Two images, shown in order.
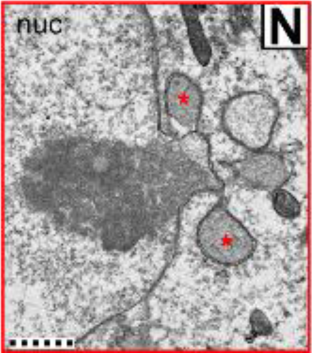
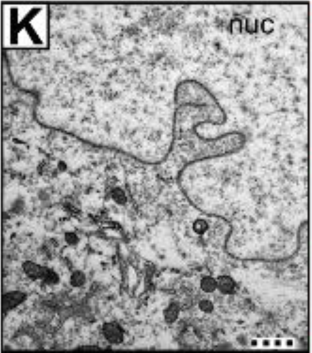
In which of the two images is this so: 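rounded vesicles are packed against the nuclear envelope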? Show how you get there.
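The first image. First image: several round membrane-bound profiles bulge from the nuclear envelope. Second image: the nuclear envelope is a continuous wavy line without such profiles.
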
